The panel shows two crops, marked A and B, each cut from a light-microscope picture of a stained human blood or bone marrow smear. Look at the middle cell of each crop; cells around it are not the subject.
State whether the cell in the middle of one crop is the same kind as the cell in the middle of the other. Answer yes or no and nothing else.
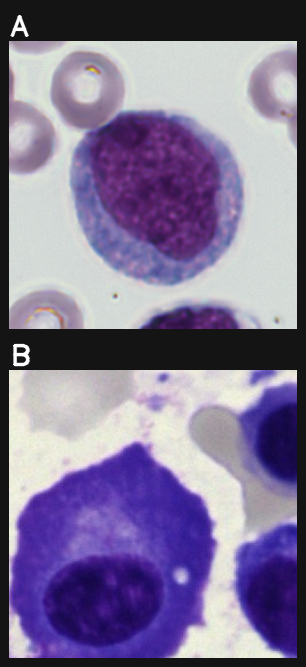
no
